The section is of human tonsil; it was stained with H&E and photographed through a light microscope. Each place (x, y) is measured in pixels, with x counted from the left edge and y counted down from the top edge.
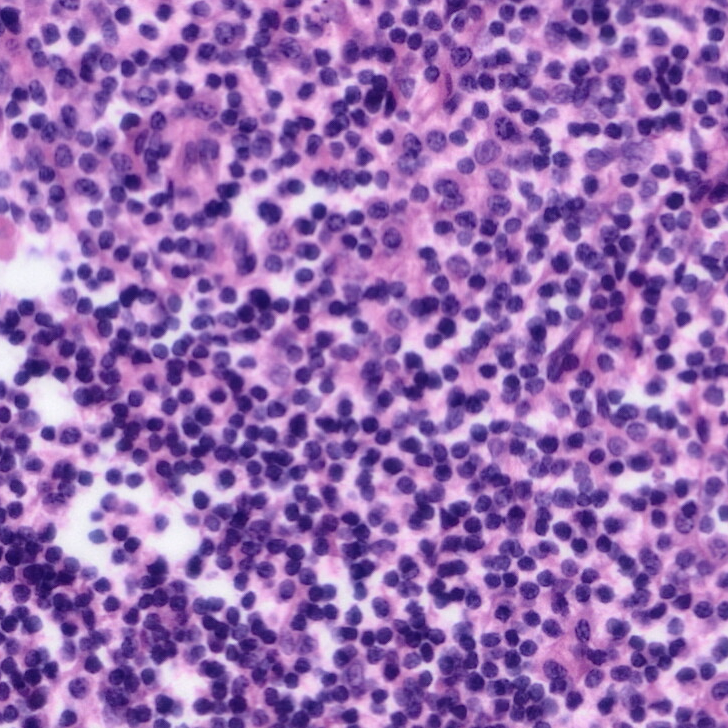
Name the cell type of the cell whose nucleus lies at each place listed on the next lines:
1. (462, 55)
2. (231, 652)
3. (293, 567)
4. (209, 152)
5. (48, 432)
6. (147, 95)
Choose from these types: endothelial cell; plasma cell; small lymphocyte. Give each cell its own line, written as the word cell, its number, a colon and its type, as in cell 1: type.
cell 1: plasma cell
cell 2: small lymphocyte
cell 3: small lymphocyte
cell 4: endothelial cell
cell 5: small lymphocyte
cell 6: plasma cell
